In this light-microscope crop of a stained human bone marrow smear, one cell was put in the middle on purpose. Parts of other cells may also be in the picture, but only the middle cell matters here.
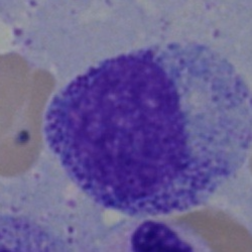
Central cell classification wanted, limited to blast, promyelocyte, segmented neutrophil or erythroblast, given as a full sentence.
The middle position in this crop is taken by a promyelocyte.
